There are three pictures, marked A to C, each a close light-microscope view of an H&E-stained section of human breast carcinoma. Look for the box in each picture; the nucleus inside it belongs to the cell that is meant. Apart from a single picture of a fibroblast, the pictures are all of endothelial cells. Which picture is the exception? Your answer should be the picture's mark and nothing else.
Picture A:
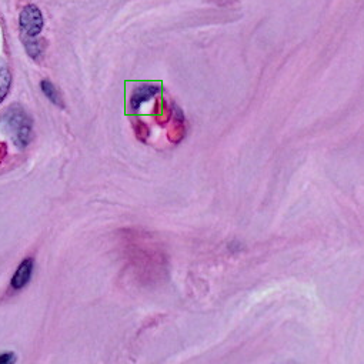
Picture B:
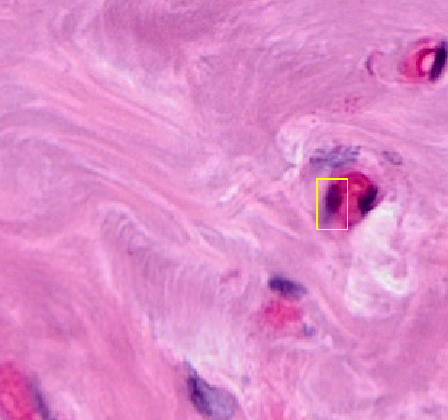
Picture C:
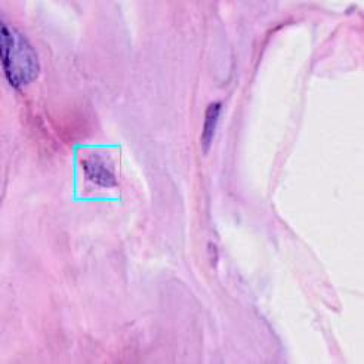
C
